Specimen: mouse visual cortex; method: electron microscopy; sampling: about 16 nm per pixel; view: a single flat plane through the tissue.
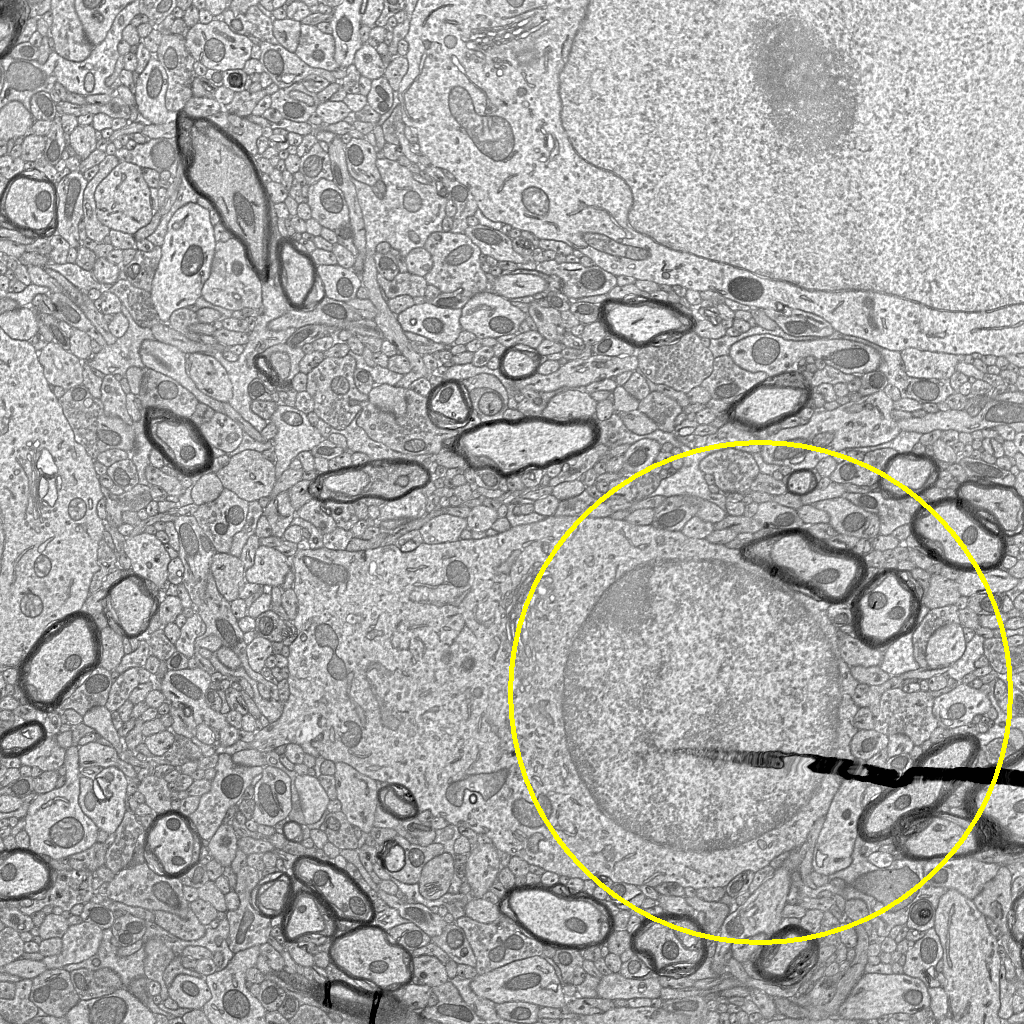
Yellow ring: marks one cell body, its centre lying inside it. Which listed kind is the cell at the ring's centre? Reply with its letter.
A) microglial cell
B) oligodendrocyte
B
